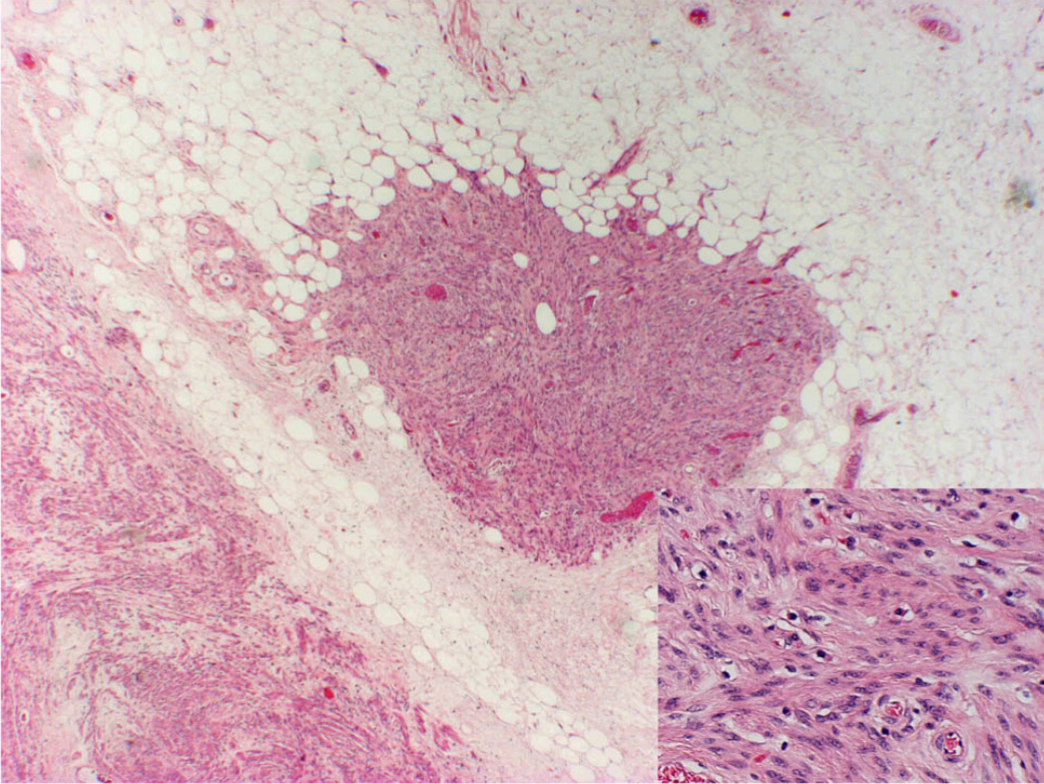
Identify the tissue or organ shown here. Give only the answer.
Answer: smooth muscle fibres admixed with mature adipose tissue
